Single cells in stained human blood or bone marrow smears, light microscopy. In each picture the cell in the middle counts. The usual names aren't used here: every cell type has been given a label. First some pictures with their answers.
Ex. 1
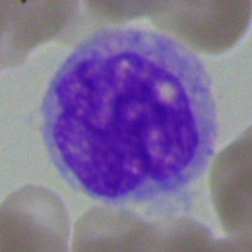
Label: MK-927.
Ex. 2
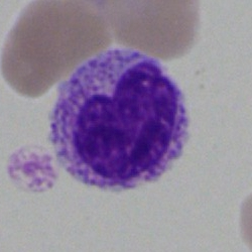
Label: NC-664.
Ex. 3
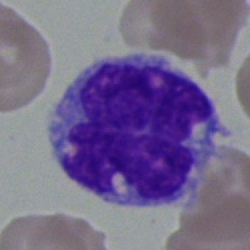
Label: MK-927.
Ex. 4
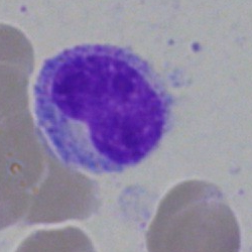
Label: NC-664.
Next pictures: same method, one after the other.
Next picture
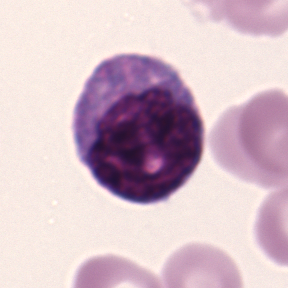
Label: MK-927.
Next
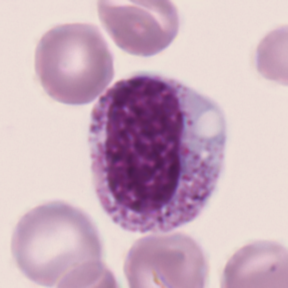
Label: NC-664.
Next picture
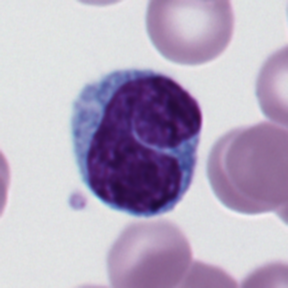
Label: MK-927.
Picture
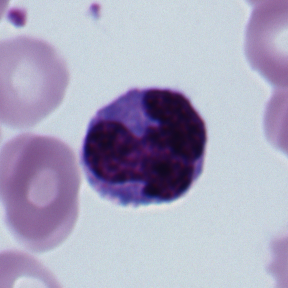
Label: MK-927.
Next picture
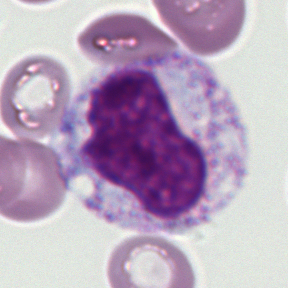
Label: NC-664.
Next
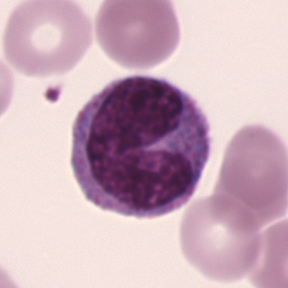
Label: MK-927.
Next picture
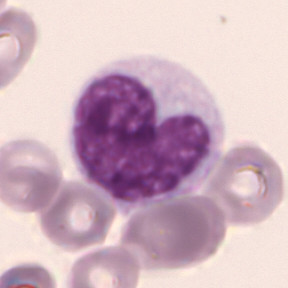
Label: NC-664.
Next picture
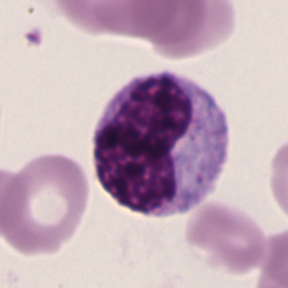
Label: MK-927.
